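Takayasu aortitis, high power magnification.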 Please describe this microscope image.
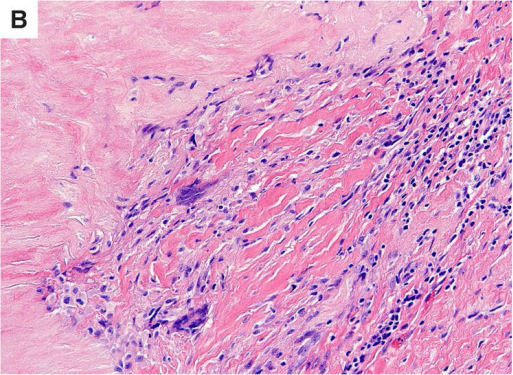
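Aortic wall with a cellular inflammatory cuff bordering a pale pink, nearly acellular zone of necrotic media on the left. Among the small dark round lymphocytes and elongated mononuclear cells lie several multinucleated giant cells with clustered nuclei, set in pink fibrous strands.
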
